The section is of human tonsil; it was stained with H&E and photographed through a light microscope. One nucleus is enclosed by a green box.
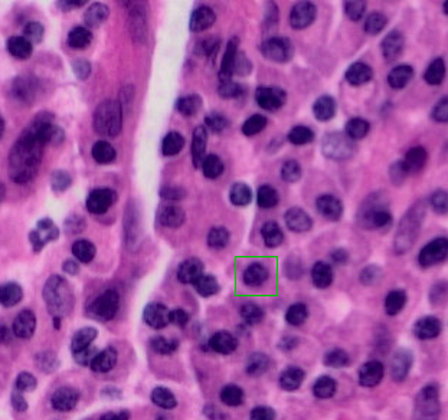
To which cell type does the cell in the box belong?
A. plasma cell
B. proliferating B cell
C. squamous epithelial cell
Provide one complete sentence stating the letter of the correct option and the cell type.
In the section, the cell in the box is a plasma cell, and option A is correct accordingly.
